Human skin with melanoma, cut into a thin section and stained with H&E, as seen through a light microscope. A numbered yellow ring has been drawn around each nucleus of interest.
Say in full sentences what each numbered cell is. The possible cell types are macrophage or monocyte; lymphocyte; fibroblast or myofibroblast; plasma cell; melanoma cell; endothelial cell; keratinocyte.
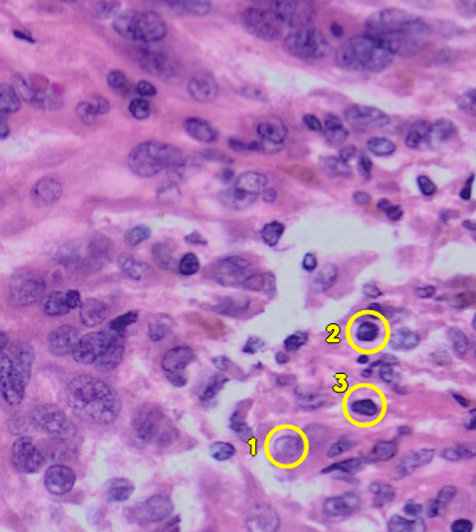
Cell 1 is a melanoma cell. Cells 2 and 3 are lymphocytes.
